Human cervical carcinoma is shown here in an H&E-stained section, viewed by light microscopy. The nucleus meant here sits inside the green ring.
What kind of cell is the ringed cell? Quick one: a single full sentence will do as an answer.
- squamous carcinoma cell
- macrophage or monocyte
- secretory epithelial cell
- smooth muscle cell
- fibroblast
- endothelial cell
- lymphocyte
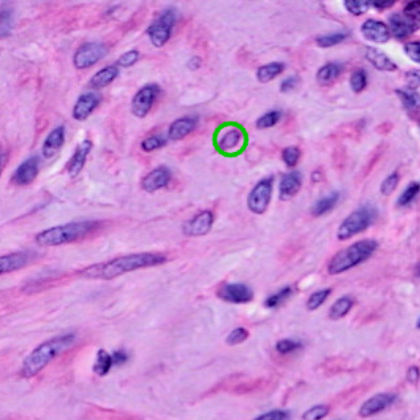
In the tissue under study, the ringed cell is a smooth muscle cell.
